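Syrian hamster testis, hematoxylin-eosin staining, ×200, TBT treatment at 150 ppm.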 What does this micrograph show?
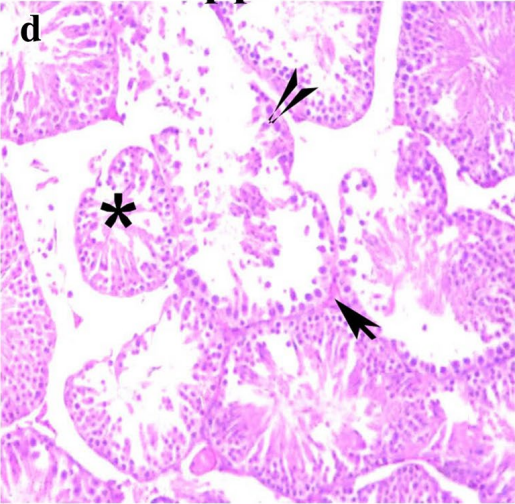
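The seminiferous tubules here are irregular in shape and separated by wide, white empty spaces containing scattered loose cells. Several tubules have thinned, disorganised linings with gaps, and one small profile is shrunken compared with its neighbours. These are signs of degeneration of the seminiferous epithelium and regression of the tubules.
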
